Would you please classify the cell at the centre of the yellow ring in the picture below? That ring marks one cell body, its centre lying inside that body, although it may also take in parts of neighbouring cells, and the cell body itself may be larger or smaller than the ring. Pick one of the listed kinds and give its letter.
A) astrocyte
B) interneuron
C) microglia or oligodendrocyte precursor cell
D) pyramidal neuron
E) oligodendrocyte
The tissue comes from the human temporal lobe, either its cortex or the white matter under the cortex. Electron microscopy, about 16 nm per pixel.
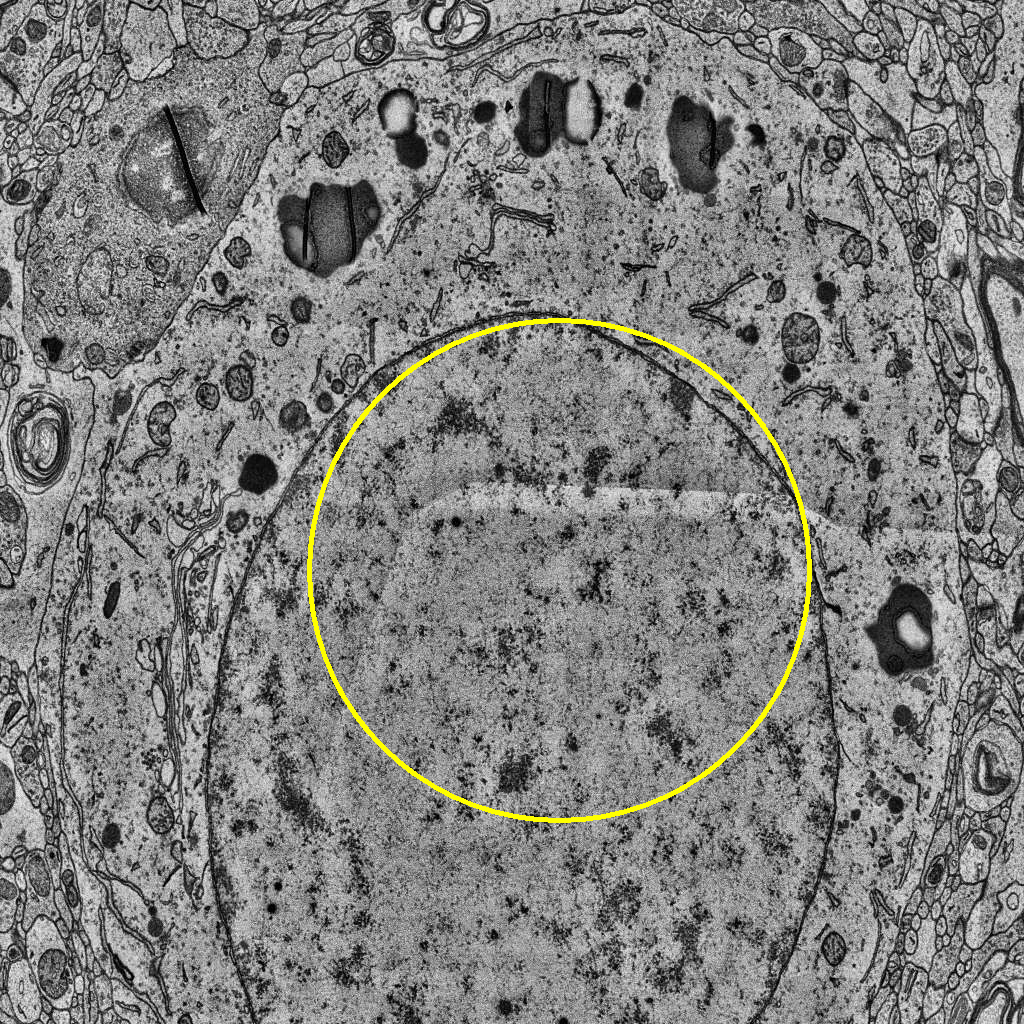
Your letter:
D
